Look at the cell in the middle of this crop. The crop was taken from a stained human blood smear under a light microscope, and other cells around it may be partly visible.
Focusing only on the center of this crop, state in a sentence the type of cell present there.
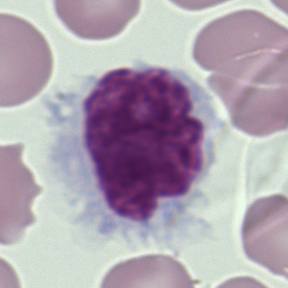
Classification of the middle cell gives a hairy cell.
